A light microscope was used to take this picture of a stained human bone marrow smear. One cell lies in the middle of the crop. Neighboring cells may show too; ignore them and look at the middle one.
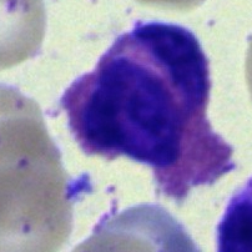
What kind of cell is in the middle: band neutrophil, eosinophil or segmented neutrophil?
eosinophil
